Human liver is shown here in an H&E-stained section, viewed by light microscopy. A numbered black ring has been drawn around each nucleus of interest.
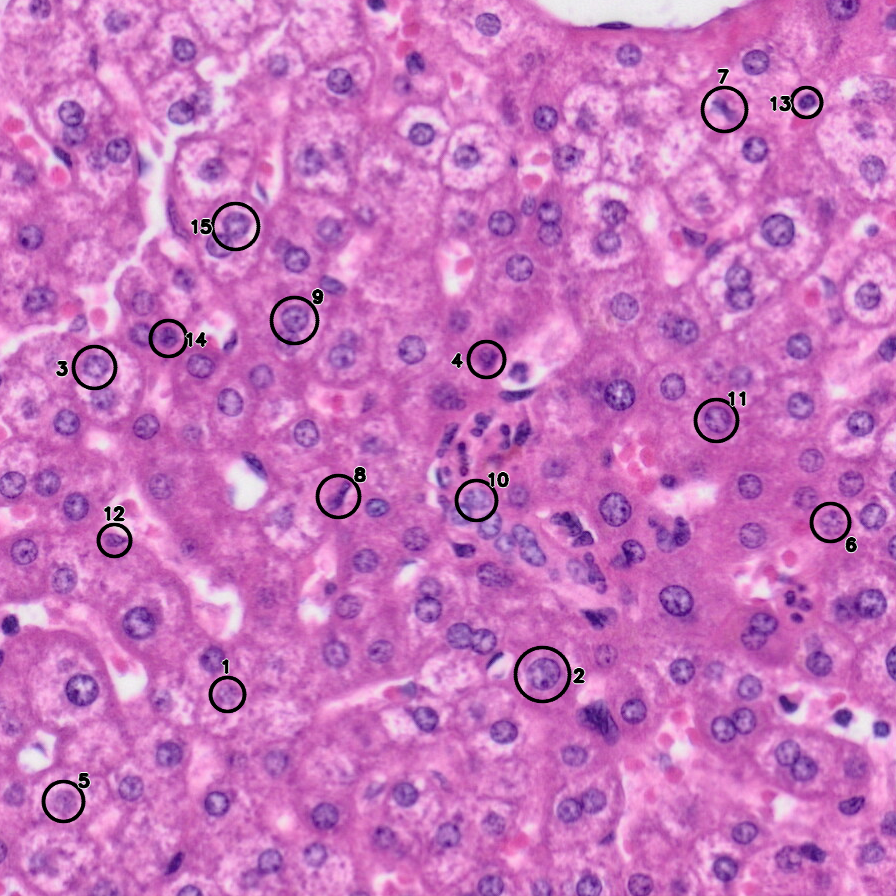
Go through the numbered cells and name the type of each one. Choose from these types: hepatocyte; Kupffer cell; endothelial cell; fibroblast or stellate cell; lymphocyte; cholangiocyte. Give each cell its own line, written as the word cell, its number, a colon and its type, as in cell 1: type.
cell 1: hepatocyte
cell 2: hepatocyte
cell 3: hepatocyte
cell 4: fibroblast or stellate cell
cell 5: hepatocyte
cell 6: hepatocyte
cell 7: endothelial cell
cell 8: fibroblast or stellate cell
cell 9: hepatocyte
cell 10: cholangiocyte
cell 11: hepatocyte
cell 12: fibroblast or stellate cell
cell 13: lymphocyte
cell 14: fibroblast or stellate cell
cell 15: hepatocyte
